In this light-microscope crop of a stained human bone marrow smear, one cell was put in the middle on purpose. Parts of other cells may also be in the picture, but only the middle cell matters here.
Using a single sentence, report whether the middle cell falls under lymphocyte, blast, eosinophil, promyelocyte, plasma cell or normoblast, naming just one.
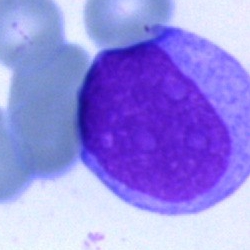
The center cell of this crop is a blast.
